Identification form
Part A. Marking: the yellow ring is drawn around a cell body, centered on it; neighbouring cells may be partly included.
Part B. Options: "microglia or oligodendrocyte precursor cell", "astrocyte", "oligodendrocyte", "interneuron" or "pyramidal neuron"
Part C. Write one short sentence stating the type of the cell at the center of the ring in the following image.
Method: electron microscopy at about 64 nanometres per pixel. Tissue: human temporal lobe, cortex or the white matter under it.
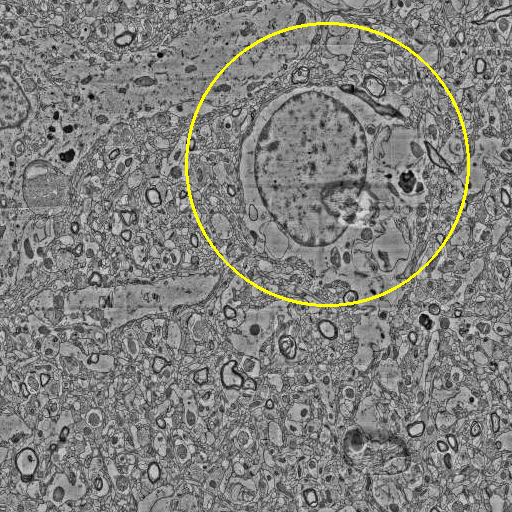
The center of the ring holds an astrocyte.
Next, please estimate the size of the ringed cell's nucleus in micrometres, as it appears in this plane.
The nucleus of the ringed cell is approximately 10 by 7 micrometres in this plane.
